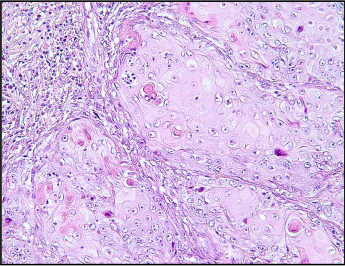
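Large polygonal tumor cells with abundant pink cytoplasm and round nuclei form broad sheets and nests at the right of the field. Some cells have dense glassy pink cytoplasm, and scattered cells are deeply stained purple-pink. Between the nests runs a stroma of spindle-shaped cells. At the upper left, this stroma is crowded with small round cells with dark nuclei and little cytoplasm, an infiltrate of immune cells, mainly lymphocytes, bordering the tumor.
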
